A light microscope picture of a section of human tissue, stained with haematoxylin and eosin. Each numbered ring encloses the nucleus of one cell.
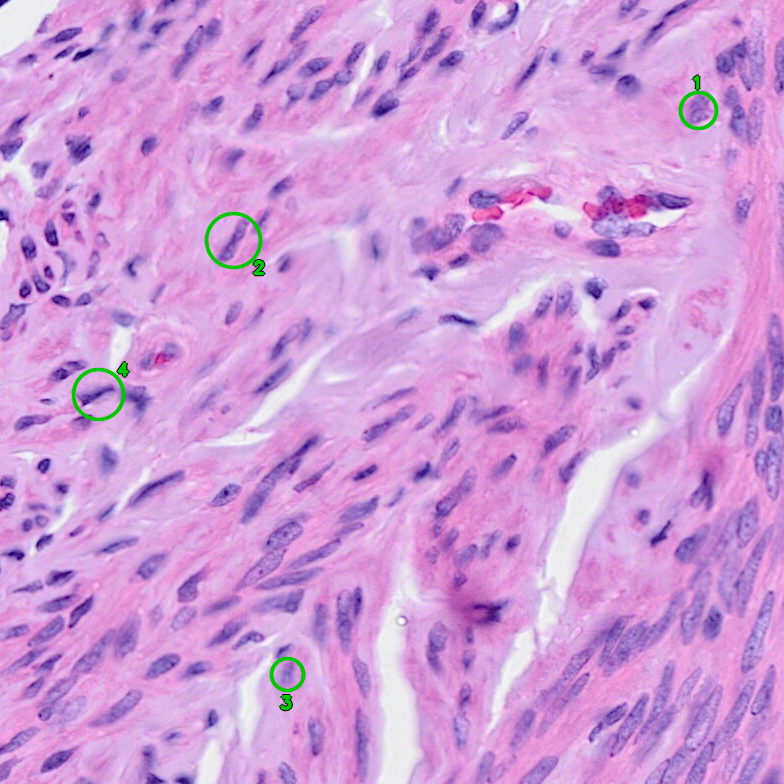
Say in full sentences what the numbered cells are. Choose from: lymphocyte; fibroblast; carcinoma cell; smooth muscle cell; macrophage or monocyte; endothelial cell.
Cell 1 is a smooth muscle cell, cell 2 is a smooth muscle cell, cell 3 is a smooth muscle cell and cell 4 is a fibroblast.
